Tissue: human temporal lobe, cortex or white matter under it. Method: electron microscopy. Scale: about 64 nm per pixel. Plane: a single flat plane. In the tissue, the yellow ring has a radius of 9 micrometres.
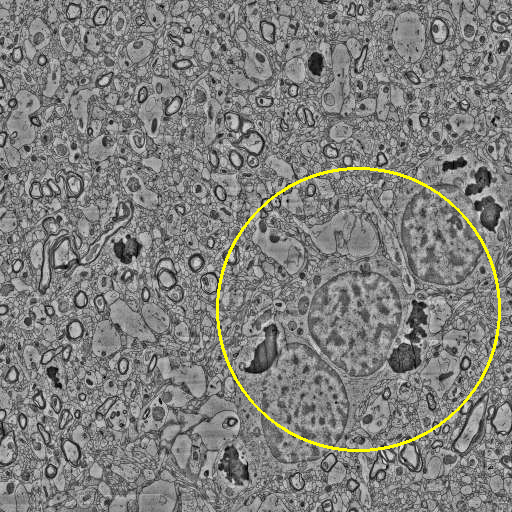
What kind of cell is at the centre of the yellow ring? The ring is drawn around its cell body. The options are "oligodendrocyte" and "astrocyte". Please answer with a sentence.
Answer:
The yellow ring marks the cell body of an oligodendrocyte.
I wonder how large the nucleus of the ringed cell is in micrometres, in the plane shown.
The nucleus measures about 6 micrometers across in this plane.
